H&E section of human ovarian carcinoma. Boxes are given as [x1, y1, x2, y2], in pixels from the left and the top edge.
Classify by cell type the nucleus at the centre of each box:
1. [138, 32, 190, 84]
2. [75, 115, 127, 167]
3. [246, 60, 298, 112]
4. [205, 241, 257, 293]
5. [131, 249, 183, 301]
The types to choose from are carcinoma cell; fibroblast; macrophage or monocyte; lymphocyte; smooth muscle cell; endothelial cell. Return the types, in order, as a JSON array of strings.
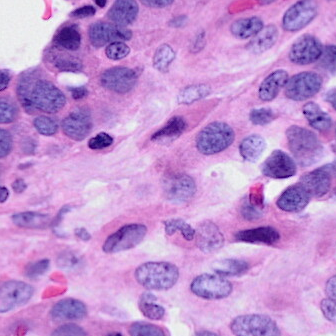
["fibroblast", "lymphocyte", "macrophage or monocyte", "fibroblast", "fibroblast"]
